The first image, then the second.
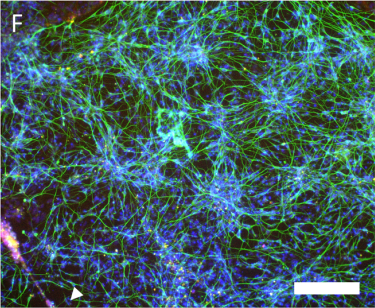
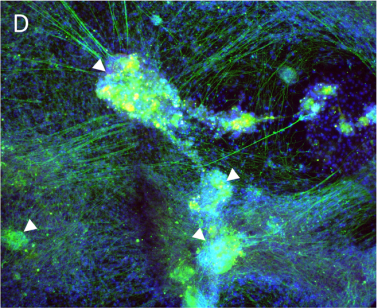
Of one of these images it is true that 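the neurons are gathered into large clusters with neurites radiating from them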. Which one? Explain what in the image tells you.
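First image: an even meshwork of neurites with small scattered nodes of nuclei, no large clumps. Second image: several large bright clumps of cells with long neurite bundles radiating from them.
Hence: the second image.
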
